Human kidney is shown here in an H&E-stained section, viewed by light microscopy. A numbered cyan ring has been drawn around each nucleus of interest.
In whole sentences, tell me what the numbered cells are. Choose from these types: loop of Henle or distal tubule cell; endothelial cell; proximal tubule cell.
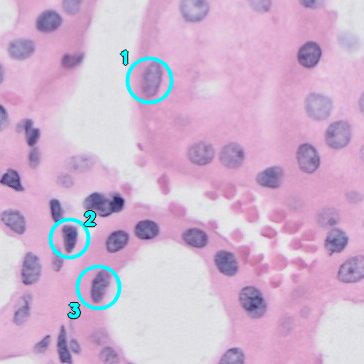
Cell 1 is a proximal tubule cell. Cell 2 is an endothelial cell. Cell 3 is a loop of Henle or distal tubule cell.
